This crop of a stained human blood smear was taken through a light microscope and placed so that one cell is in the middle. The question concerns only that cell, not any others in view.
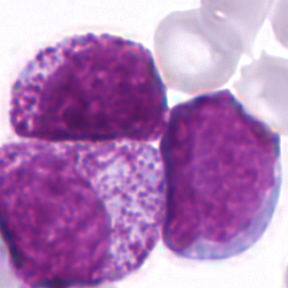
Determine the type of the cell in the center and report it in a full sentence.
The centered cell in this crop is a myelocyte.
